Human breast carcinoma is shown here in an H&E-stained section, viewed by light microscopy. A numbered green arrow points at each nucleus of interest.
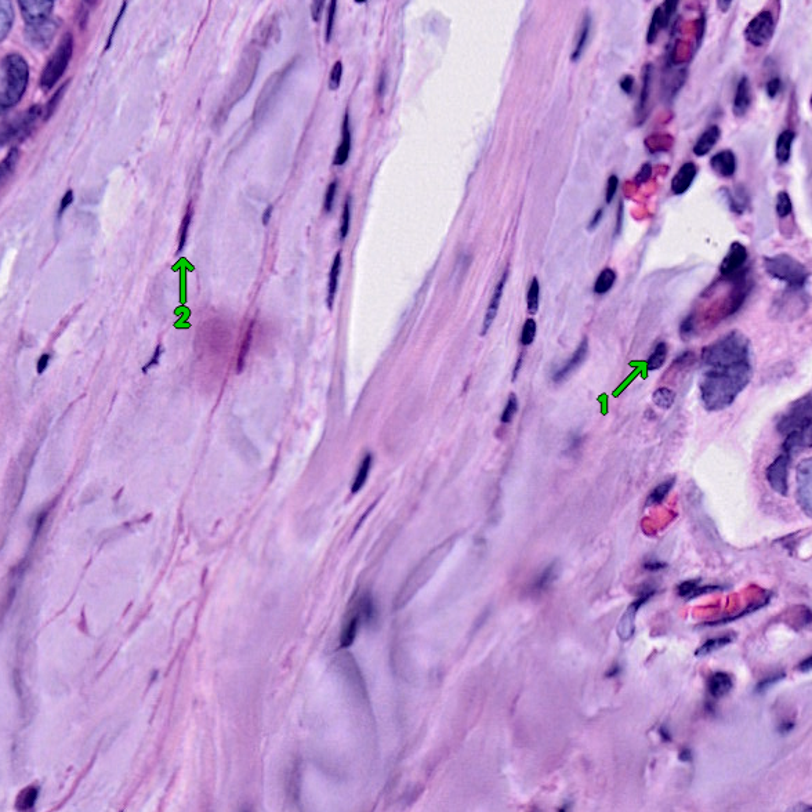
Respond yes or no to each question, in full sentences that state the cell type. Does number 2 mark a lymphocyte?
No, the cell at number 2 is a fibroblast instead of a lymphocyte.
